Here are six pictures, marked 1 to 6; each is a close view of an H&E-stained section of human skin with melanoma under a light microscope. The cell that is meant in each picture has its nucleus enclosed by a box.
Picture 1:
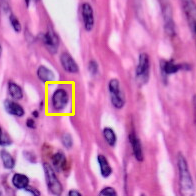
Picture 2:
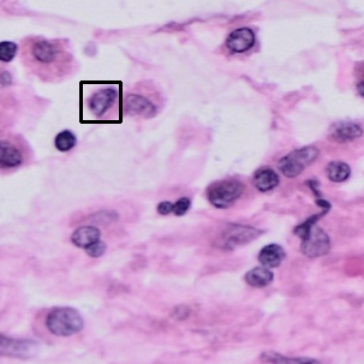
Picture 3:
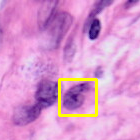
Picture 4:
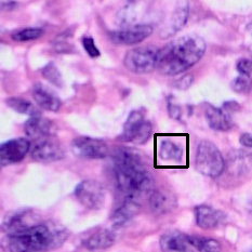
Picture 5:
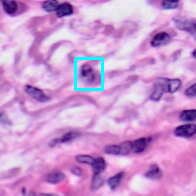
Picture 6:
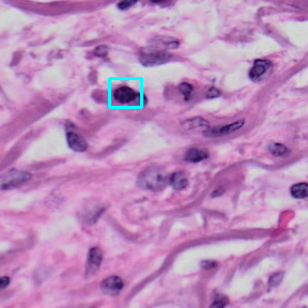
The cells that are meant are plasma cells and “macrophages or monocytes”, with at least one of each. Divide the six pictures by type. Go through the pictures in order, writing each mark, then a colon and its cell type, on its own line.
1: plasma cell
2: macrophage or monocyte
3: macrophage or monocyte
4: macrophage or monocyte
5: plasma cell
6: plasma cell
